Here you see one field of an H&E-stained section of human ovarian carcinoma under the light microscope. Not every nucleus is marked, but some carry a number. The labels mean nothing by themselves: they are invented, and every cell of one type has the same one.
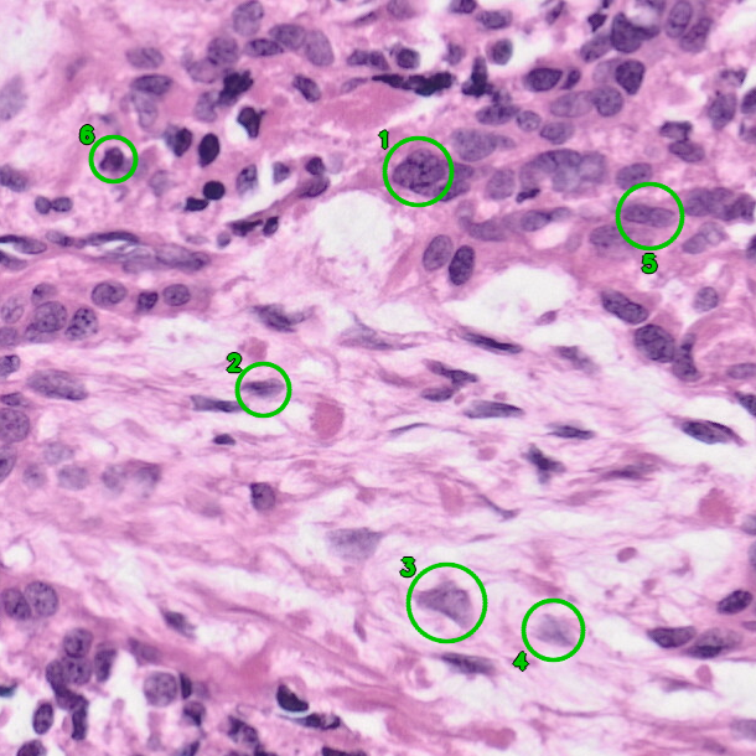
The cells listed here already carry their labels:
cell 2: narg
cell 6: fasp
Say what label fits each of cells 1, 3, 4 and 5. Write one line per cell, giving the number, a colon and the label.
1: fasp
3: narg
4: narg
5: fasp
